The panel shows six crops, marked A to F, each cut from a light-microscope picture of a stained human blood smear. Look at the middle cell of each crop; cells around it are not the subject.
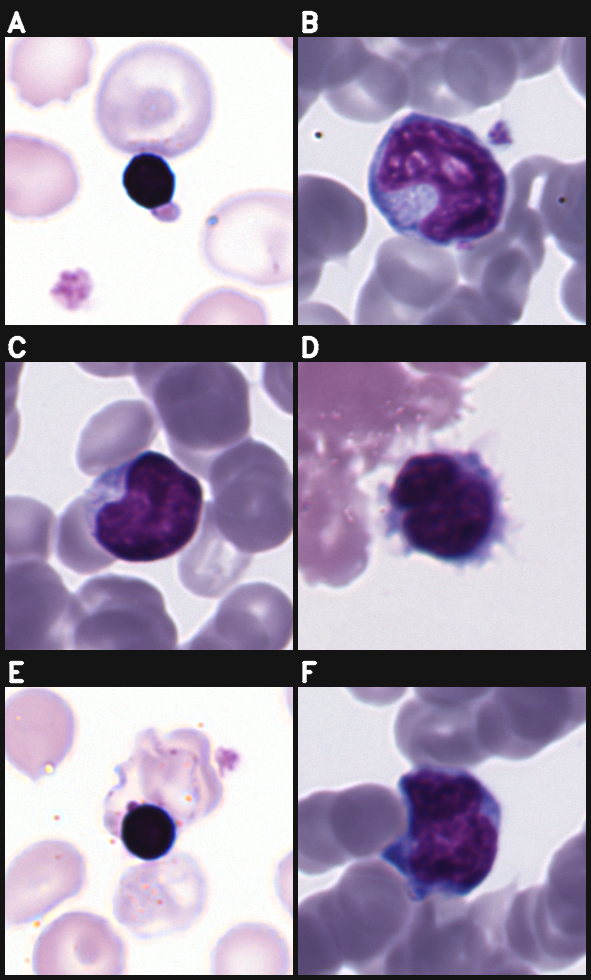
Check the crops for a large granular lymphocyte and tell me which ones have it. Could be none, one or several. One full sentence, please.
All of the crops lack a large granular lymphocyte, without exception.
